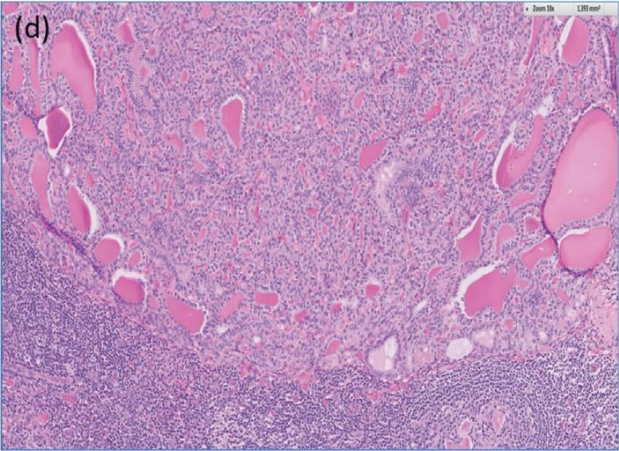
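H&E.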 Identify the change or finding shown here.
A: Lymph node metastasis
